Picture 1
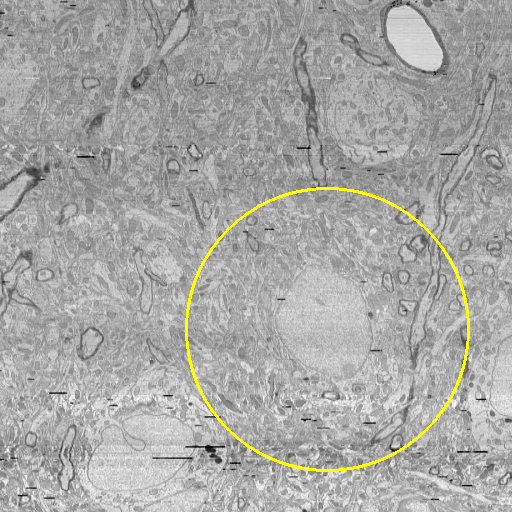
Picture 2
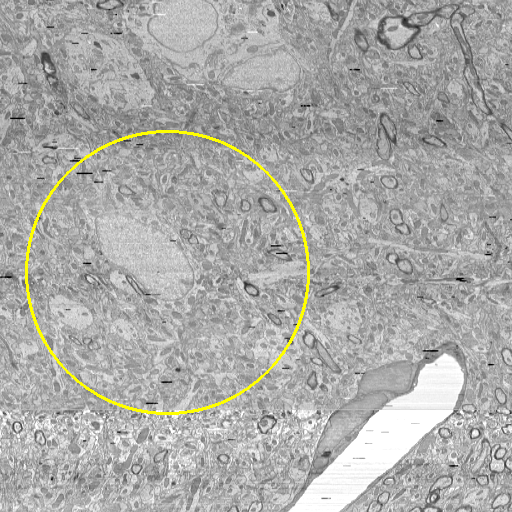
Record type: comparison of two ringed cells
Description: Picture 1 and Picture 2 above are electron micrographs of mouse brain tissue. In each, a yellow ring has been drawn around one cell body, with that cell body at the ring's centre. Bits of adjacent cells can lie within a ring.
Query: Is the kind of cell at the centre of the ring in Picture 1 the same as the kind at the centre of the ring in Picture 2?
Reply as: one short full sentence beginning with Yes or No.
Yes, the two ringed cells are of the same kind.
